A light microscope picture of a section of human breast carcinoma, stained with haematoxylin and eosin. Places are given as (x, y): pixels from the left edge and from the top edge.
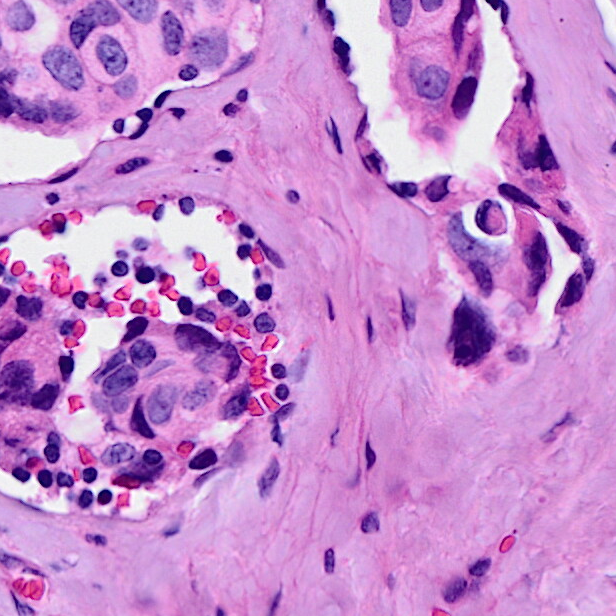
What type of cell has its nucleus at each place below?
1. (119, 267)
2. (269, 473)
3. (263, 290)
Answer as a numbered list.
1. lymphocyte
2. fibroblast
3. lymphocyte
